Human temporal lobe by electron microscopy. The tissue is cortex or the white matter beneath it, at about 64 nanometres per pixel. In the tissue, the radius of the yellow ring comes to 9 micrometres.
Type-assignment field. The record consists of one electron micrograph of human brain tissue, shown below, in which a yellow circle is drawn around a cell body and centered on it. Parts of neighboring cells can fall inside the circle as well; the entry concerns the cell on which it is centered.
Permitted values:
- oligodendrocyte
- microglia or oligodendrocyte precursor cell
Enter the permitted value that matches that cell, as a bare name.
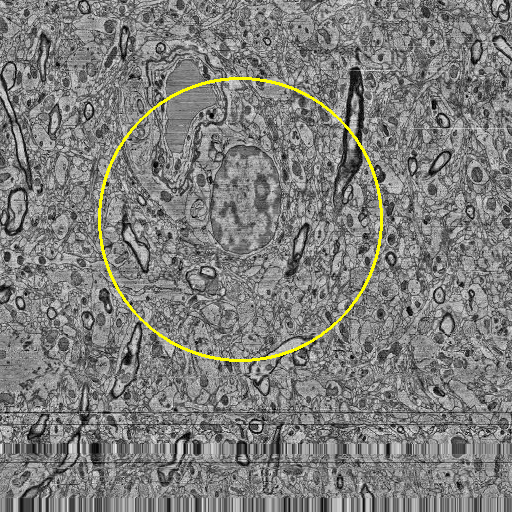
microglia or oligodendrocyte precursor cell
